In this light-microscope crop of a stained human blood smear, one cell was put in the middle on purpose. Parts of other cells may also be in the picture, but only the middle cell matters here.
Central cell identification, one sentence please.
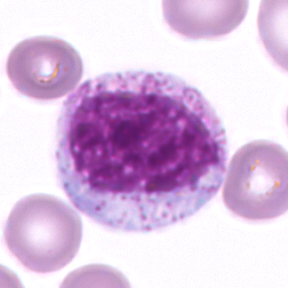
Standing at the centre of this crop is a metamyelocyte.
